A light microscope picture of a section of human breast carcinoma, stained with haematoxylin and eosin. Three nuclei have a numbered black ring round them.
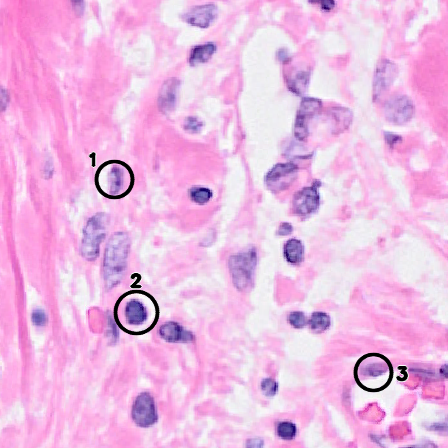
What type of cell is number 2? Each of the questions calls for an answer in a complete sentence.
The cell identified by the number 2 is a lymphocyte.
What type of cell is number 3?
The cell pointed out as number 3 is an endothelial cell.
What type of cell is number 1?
Identified as a fibroblast is the cell bearing the number 1.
